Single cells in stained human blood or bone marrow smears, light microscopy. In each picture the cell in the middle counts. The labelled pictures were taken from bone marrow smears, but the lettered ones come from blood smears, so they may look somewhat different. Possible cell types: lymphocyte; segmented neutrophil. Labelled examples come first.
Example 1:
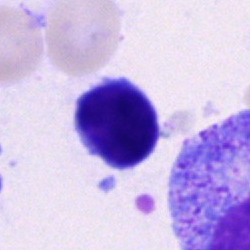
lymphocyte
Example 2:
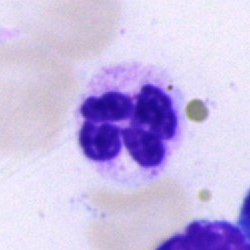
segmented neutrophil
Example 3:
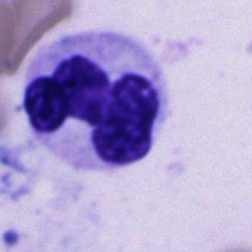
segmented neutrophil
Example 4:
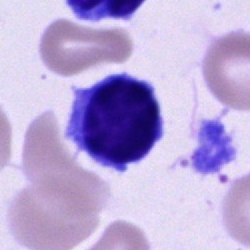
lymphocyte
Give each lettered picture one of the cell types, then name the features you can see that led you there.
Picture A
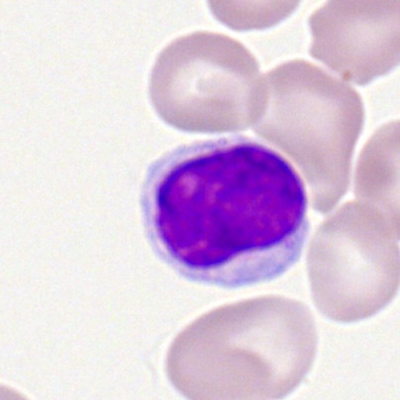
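lymphocyte. The nucleus fills most of the cell.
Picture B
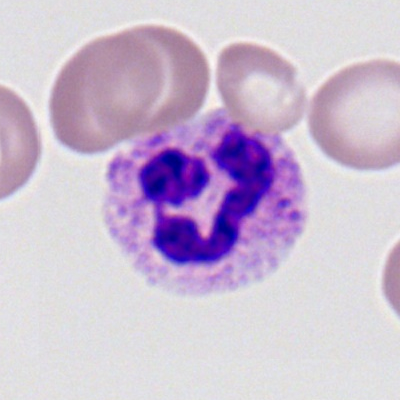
segmented neutrophil. The cytoplasm is plentiful and pale pinkish-lilac.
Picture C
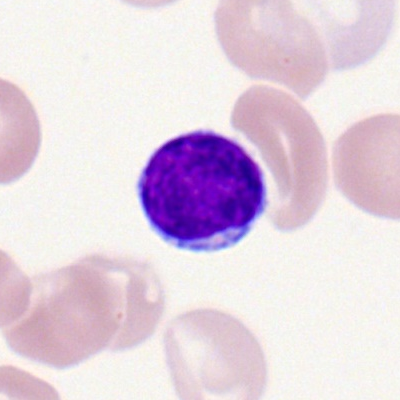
lymphocyte. The cytoplasm is a scant pale blue rim, seen most clearly along the lower edge.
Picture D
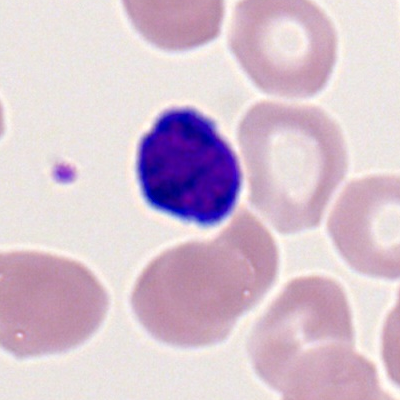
lymphocyte. Cytoplasm is scant, at most a very thin rim around the nucleus.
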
